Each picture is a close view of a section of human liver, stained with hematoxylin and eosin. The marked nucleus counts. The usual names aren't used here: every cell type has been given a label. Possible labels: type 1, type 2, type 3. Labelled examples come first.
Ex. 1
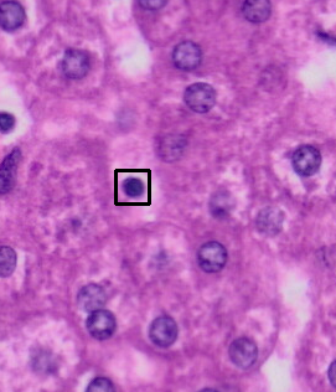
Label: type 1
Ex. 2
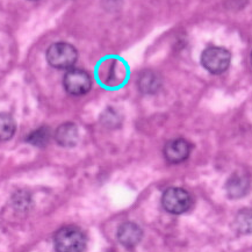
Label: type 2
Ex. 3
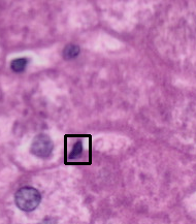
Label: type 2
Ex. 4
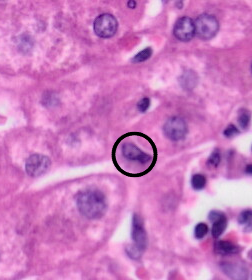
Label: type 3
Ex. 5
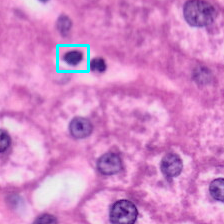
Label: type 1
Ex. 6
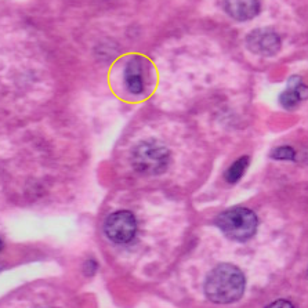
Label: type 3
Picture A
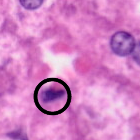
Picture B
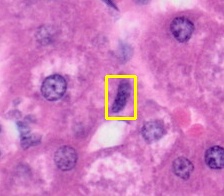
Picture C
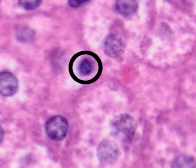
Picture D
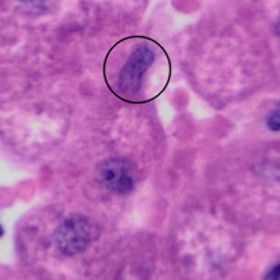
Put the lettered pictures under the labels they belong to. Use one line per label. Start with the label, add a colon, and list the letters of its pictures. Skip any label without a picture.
type 1: C
type 2: A, B
type 3: D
